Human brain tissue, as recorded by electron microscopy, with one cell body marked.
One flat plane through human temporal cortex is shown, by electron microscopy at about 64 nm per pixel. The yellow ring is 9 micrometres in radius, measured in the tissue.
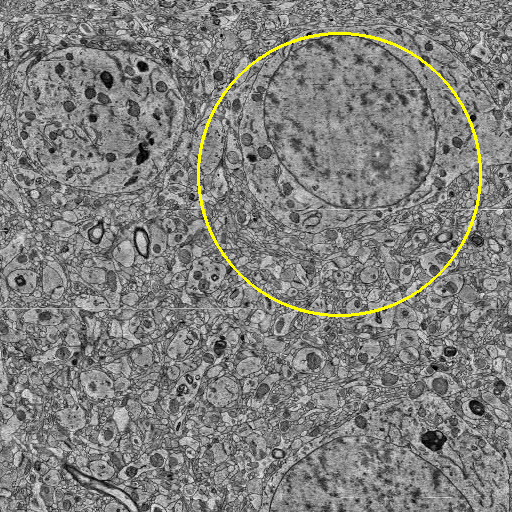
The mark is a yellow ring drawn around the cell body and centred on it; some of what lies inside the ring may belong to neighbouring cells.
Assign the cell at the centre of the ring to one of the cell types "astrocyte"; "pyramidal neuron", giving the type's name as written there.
pyramidal neuron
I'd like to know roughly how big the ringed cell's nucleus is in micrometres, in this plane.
The nucleus of the ringed cell is approximately 11 micrometres across in this plane.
